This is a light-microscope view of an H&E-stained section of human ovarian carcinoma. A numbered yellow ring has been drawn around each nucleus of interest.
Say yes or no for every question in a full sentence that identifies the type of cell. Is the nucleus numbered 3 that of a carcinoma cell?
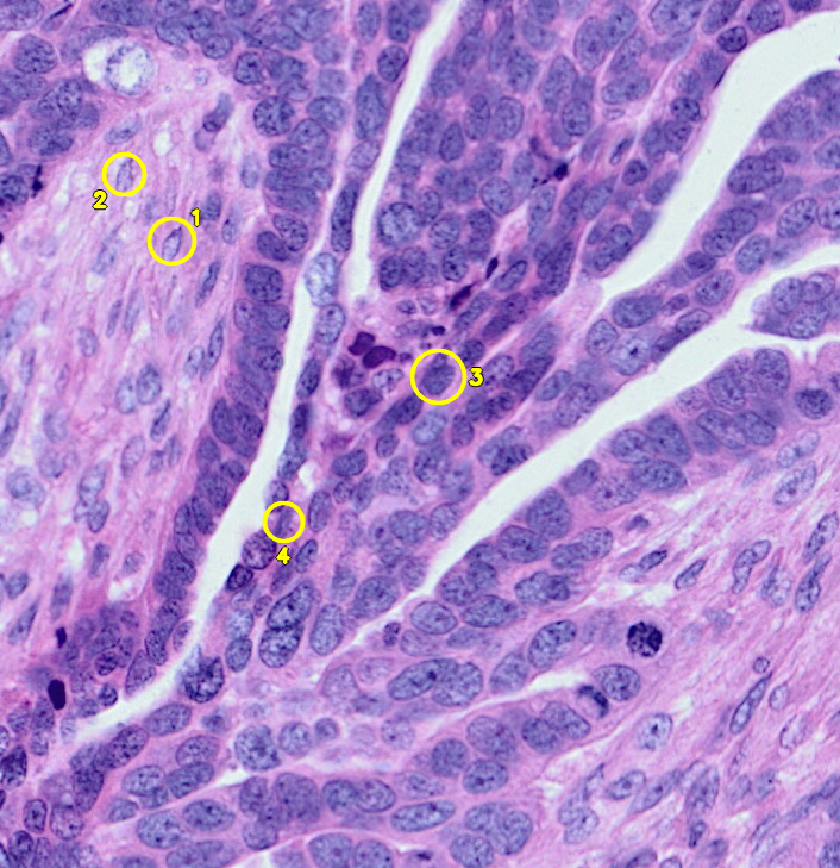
Yes, of the numbered cells, number 3 is a carcinoma cell.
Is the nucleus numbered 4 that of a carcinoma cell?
Yes, the cell that number 4 points to is a carcinoma cell.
